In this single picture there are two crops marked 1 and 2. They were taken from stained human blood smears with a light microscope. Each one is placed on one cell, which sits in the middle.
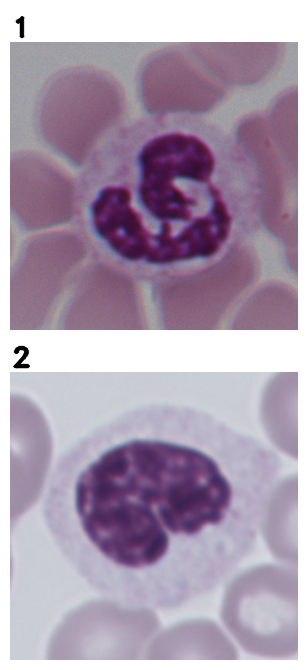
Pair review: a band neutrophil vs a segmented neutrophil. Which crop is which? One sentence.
To sum up the two crops, crop 1 is a segmented neutrophil and crop 2 is a band neutrophil.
